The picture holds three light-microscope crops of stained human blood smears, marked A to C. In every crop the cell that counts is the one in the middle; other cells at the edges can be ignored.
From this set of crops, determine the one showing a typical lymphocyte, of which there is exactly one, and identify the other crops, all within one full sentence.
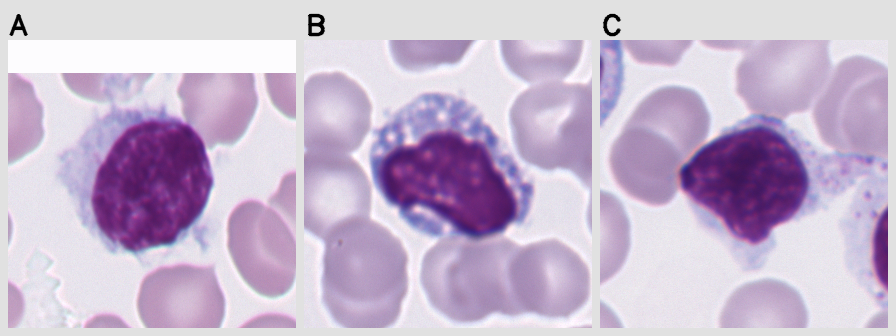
Crop B is the one showing a typical lymphocyte, whereas crop A is a hairy cell and crop C is a large granular lymphocyte.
